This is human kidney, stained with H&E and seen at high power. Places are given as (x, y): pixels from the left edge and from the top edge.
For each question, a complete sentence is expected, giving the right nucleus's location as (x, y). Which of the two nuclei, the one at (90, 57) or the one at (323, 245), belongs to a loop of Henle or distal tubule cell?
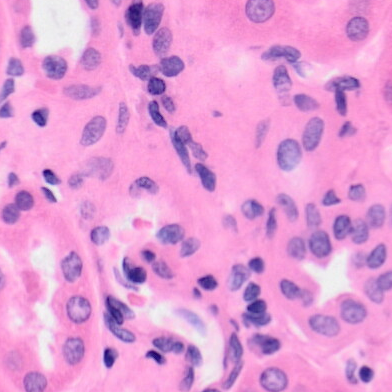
The nucleus contained in a loop of Henle or distal tubule cell is the one at (90, 57).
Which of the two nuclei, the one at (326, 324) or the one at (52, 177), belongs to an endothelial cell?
The nucleus that sits at (52, 177) is the nucleus of an endothelial cell.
